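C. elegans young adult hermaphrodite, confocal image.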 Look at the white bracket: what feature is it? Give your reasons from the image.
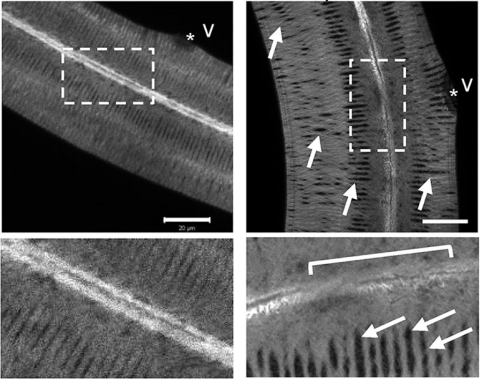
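The bracket sits over bright lines running lengthwise along the body. These lengthwise lines are patchy and irregular under the bracket. On this evidence: longitudinal alae pattern.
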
